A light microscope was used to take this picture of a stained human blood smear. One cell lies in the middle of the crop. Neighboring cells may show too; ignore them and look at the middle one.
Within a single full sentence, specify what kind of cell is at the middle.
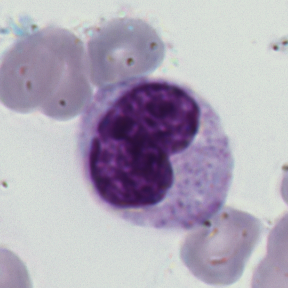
The identification for the central cell is a metamyelocyte.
